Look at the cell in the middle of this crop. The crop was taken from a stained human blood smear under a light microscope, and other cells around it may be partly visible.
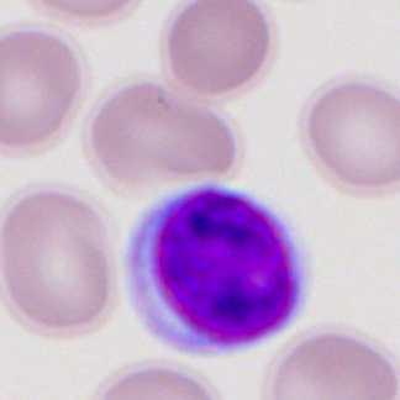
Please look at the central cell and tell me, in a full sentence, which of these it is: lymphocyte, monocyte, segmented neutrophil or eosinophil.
The cell at the central position in this crop is a lymphocyte.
